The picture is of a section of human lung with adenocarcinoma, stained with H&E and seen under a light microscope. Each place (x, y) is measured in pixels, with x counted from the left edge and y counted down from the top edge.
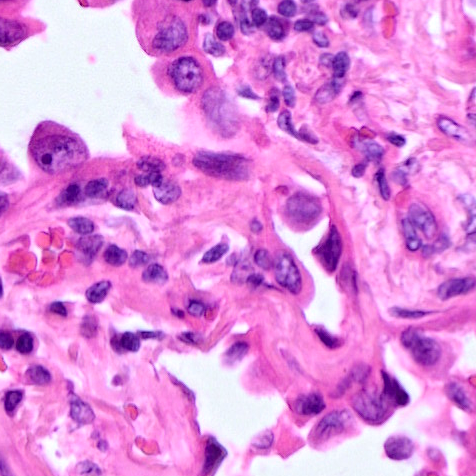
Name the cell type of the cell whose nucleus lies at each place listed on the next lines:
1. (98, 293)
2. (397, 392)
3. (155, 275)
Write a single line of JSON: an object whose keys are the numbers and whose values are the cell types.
{"1": "lymphocyte", "2": "carcinoma cell", "3": "lymphocyte"}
